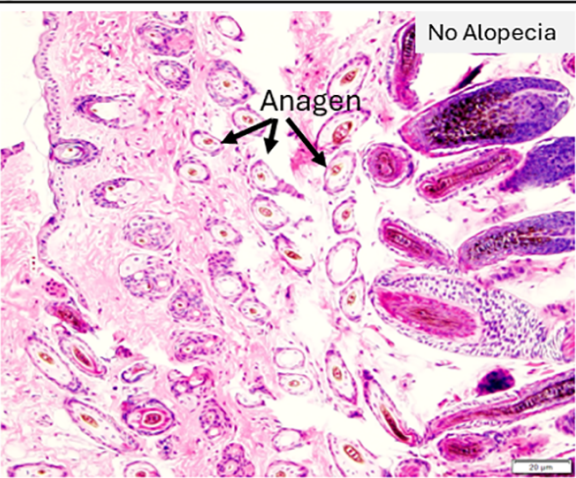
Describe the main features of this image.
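Most follicles hold a pigmented, brownish-red hair shaft in their centre. Each shaft is surrounded by concentric layers of epithelial sheath cells with purple nuclei.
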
